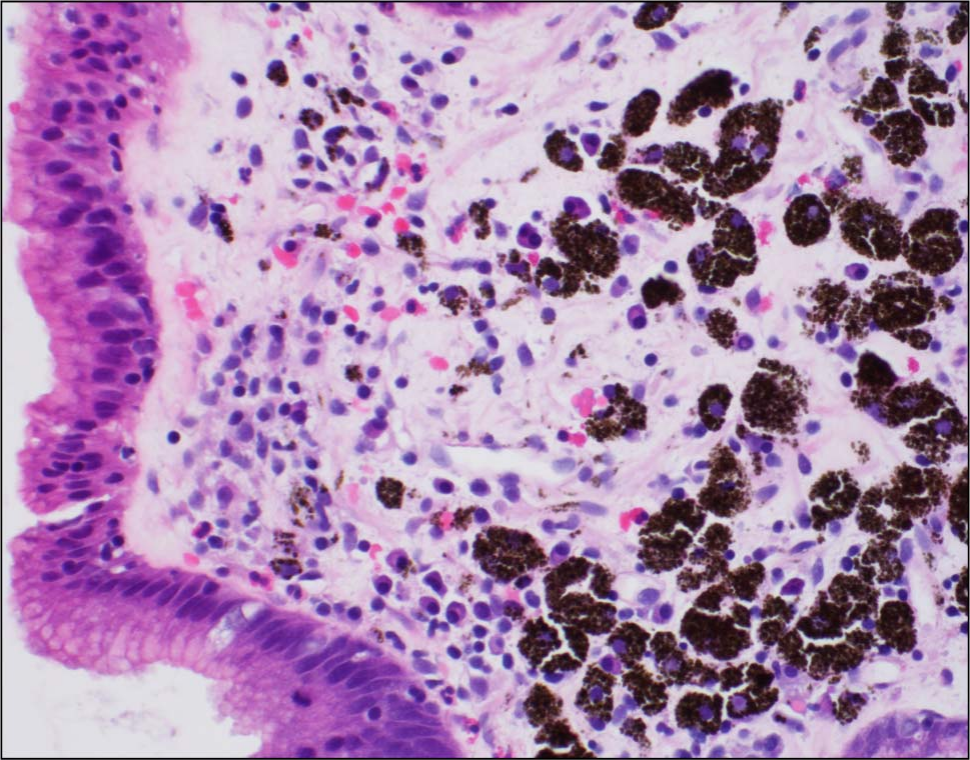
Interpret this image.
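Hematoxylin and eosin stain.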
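A columnar epithelium with pale apical mucin lines the left and lower edges, and beneath it the loose stroma holds many large histiocytes whose cytoplasm is stuffed with coarse dark brown granular pigment, often hiding a small purple nucleus. These pigment-laden cells crowd together in clusters, most densely on the right, while small round inflammatory cells with dark nuclei and scattered bright pink red blood cells lie between them and nearer the epithelium.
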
